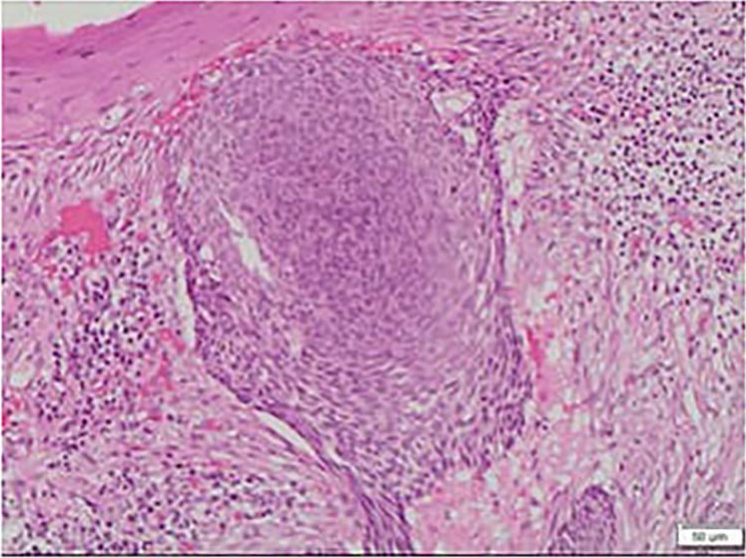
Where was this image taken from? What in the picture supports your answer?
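The nest lies beneath a dense pink layer at the top of the field. The nest is surrounded by loose connective tissue stroma. So: dermis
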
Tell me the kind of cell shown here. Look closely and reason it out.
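A large rounded nest of crowded cells with dark oval nuclei and scant cytoplasm sits in the centre. The nest stains more purple than the surrounding pink stroma. On this evidence: basaloid cells.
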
